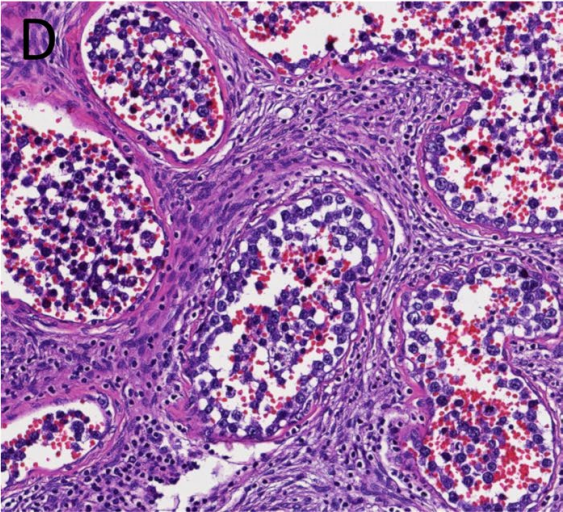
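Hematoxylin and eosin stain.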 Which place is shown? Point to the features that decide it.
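Vascular lumen. Clusters of round cells with dark nuclei lie inside vessel channels. Red blood cells are mixed among them in the same spaces. The round cells lie loose in the channels, not in the surrounding stroma.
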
